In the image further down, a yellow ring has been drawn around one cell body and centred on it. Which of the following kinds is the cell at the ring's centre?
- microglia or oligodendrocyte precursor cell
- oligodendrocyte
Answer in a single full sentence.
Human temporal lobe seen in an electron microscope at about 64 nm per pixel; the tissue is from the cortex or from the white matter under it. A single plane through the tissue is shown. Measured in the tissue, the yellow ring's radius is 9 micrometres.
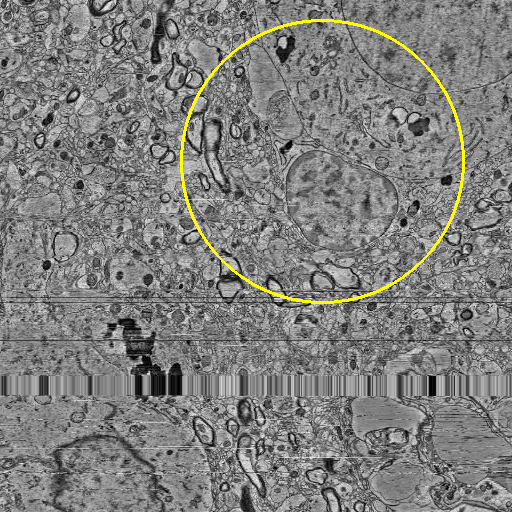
In the picture, the cell sitting at the centre of the yellow ring is a microglial cell or oligodendrocyte precursor cell.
